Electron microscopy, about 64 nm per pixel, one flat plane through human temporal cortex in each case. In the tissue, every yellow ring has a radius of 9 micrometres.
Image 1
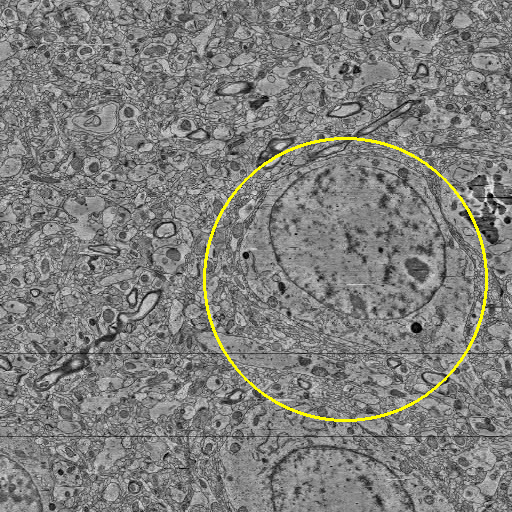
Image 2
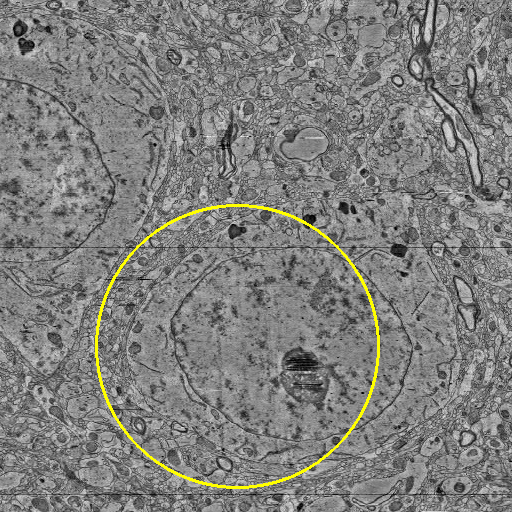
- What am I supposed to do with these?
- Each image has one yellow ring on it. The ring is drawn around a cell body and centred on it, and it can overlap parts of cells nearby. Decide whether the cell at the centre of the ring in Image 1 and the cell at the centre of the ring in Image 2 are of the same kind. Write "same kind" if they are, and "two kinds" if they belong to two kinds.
same kind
